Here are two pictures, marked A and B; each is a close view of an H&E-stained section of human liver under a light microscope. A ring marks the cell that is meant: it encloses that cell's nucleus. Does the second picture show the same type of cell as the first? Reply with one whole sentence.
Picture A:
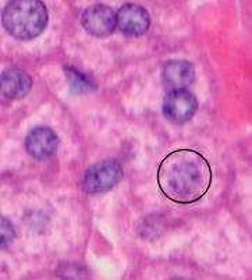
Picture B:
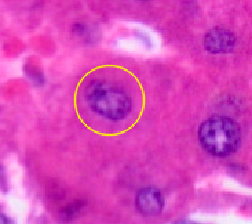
Yes, both are hepatocytes.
